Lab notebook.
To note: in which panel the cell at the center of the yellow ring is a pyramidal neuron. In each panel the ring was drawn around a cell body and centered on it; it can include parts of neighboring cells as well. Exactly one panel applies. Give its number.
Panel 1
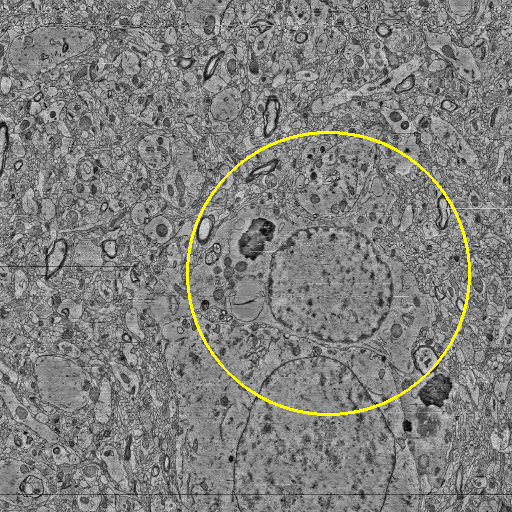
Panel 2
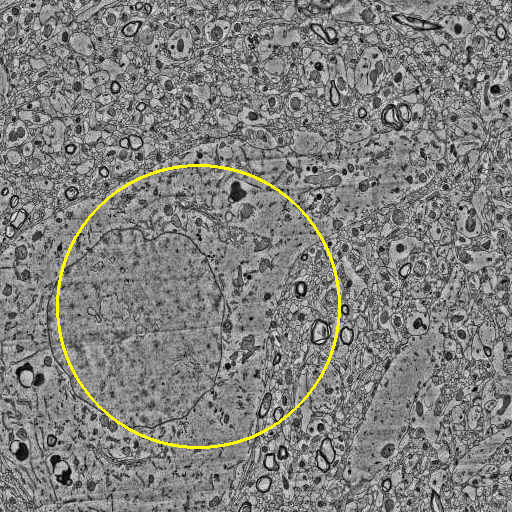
2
